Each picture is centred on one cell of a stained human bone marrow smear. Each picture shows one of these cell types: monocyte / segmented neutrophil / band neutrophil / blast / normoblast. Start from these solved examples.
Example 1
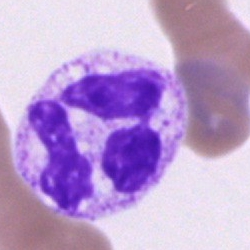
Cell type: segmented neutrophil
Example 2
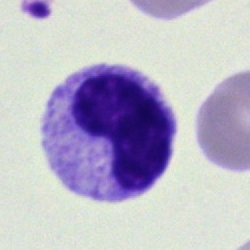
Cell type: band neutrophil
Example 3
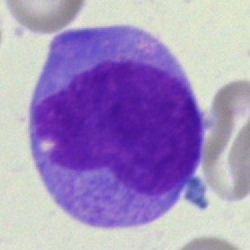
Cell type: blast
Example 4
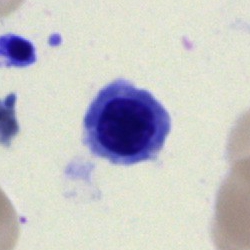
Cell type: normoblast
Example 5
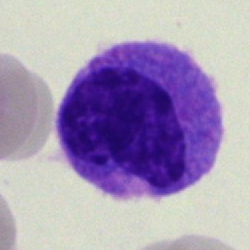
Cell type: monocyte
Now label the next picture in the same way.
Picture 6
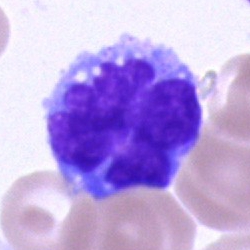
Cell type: monocyte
